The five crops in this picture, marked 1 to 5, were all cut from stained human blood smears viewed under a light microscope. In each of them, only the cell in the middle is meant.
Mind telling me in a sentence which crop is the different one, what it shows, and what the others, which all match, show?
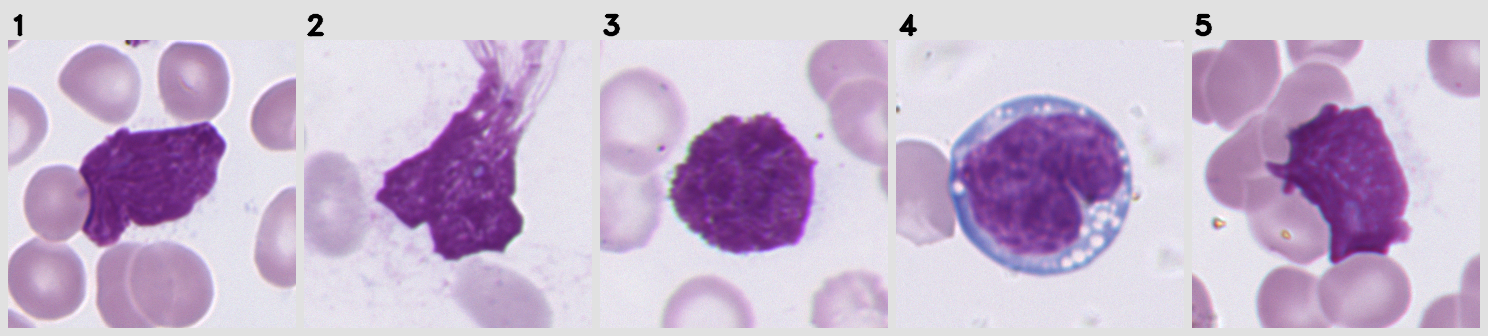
The central cell of crop 4 is a myeloblast, while the other crops show smudge cells.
